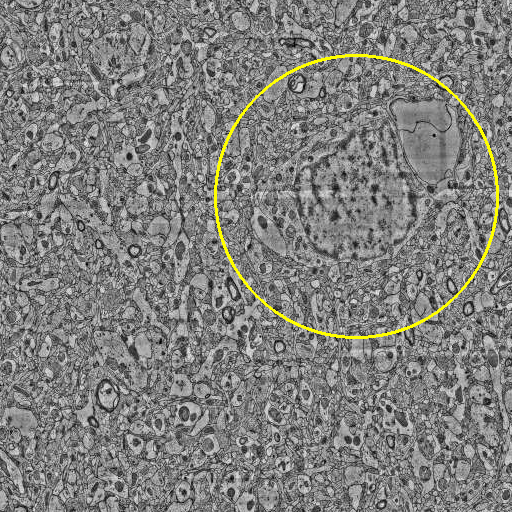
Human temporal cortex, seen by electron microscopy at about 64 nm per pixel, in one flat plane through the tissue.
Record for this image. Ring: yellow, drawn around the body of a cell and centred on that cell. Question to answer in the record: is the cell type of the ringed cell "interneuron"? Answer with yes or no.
yes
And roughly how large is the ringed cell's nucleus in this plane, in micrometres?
In this plane the nucleus is about 8 micrometres across.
